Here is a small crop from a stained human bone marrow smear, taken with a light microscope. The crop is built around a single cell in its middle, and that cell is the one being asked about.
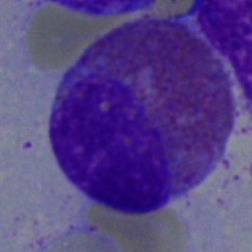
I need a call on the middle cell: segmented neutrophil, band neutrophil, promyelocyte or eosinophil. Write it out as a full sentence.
Seen at the centre of the crop is an eosinophil.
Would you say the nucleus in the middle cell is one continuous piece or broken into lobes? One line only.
The nucleus is one compact mass, round, oval or kidney-shaped in outline.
